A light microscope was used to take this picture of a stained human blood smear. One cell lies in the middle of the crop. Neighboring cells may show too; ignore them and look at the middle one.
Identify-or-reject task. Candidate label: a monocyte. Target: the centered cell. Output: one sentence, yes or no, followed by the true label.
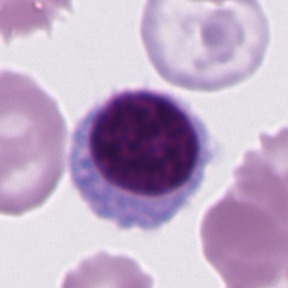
No, the one in the center is not a monocyte; it is a hairy cell.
